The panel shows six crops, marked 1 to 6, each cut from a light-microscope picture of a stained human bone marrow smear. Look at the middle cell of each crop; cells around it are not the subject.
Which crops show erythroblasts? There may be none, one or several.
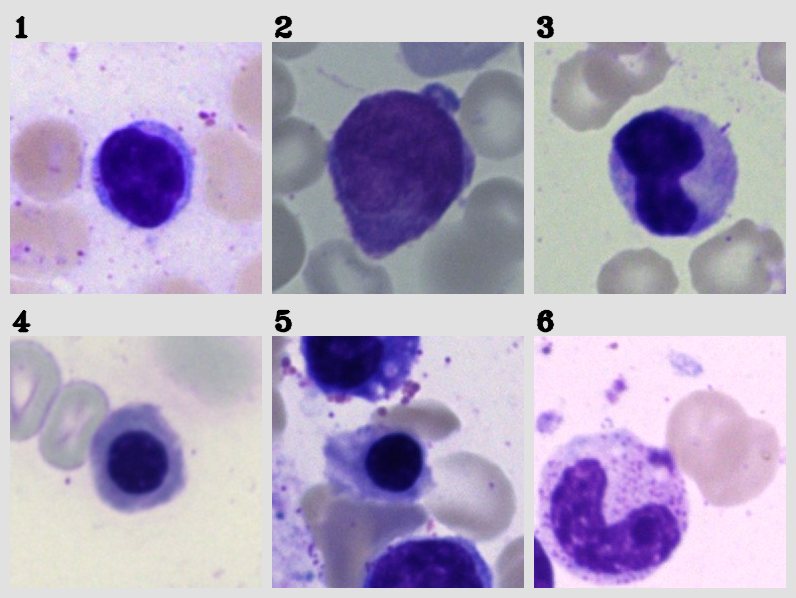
4, 5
